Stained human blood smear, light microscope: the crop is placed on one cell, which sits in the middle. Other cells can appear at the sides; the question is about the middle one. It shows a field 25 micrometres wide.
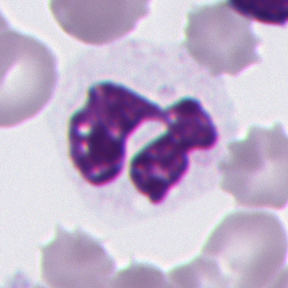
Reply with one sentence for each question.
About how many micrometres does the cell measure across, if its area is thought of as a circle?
The diameter of the cell comes to about 15 micrometres.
